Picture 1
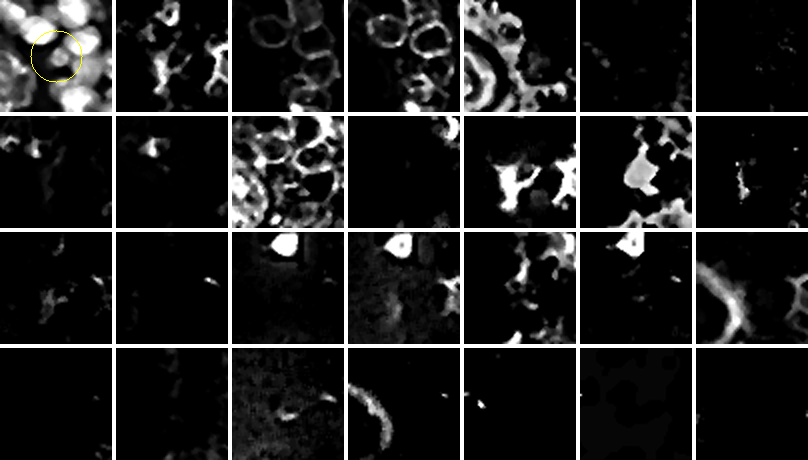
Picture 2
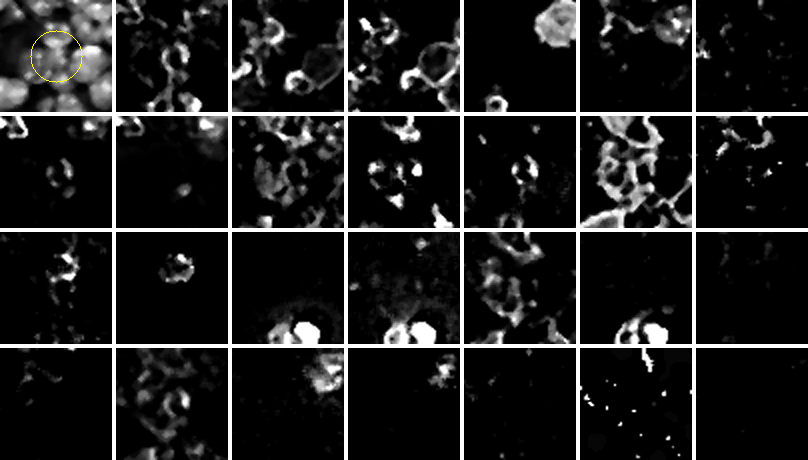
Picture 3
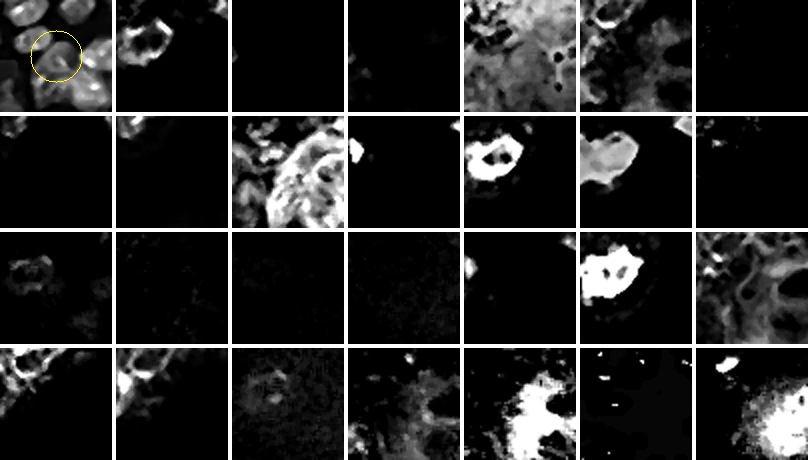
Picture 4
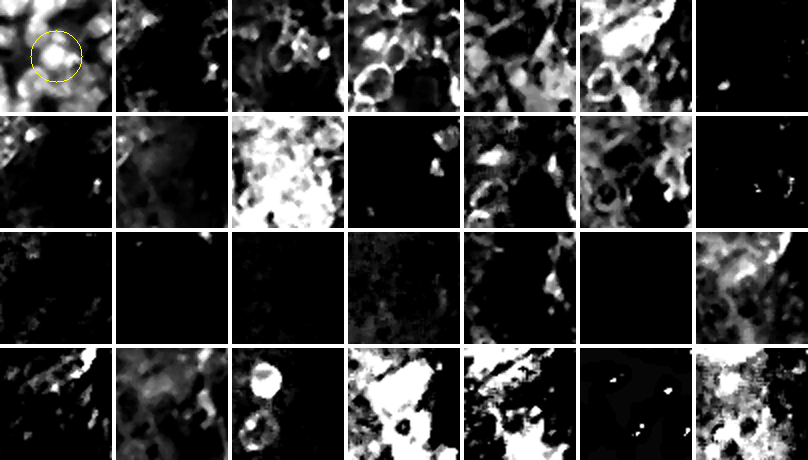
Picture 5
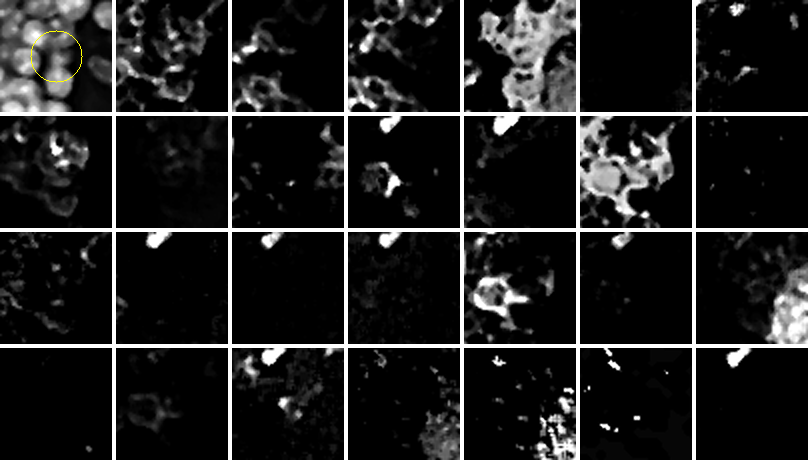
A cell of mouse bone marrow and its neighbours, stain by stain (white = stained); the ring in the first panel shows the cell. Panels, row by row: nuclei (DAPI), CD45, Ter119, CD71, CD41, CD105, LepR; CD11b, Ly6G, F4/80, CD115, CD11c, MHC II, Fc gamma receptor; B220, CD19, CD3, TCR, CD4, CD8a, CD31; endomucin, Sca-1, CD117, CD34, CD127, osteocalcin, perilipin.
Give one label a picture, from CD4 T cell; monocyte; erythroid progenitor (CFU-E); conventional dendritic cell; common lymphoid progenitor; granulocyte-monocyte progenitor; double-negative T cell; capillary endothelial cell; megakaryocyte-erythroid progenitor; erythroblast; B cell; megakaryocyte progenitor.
Picture 1: conventional dendritic cell
Picture 2: monocyte
Picture 3: common lymphoid progenitor
Picture 4: erythroblast
Picture 5: megakaryocyte progenitor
